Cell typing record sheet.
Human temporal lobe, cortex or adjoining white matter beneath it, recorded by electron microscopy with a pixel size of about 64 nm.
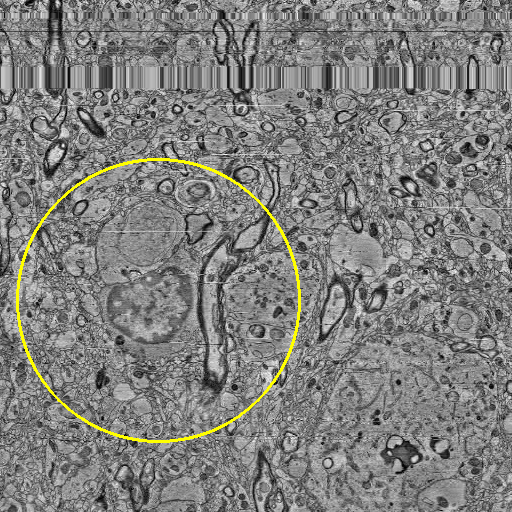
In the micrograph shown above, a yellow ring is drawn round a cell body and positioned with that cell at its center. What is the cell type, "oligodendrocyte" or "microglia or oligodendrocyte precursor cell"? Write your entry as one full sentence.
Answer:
The cell body at the center of the ring belongs to an oligodendrocyte.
